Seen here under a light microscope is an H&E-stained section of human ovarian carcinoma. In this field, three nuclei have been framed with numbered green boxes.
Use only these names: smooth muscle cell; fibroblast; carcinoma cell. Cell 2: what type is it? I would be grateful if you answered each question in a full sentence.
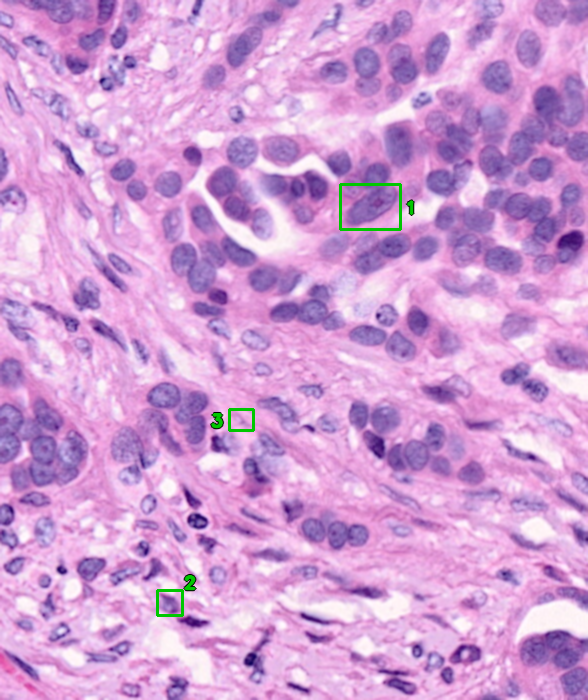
In this section, the cell numbered 2 is a fibroblast.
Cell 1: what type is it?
Number 1 among the marked cells is a carcinoma cell.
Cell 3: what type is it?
The nucleus labelled 3 belongs to a fibroblast.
